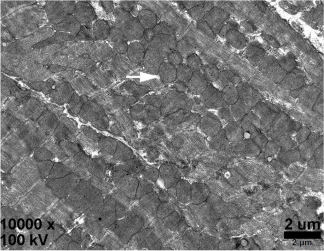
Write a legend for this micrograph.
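This electron micrograph shows heart muscle cells cut along their length, with myofibrils running diagonally across the field. Between the myofibrils lie rows of oval mitochondria with dense, finely textured interiors, one of them marked by the arrow. Thin pale clefts of interstitial space run between bundles of fibres. The arrangement of fibrils and mitochondria is orderly.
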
